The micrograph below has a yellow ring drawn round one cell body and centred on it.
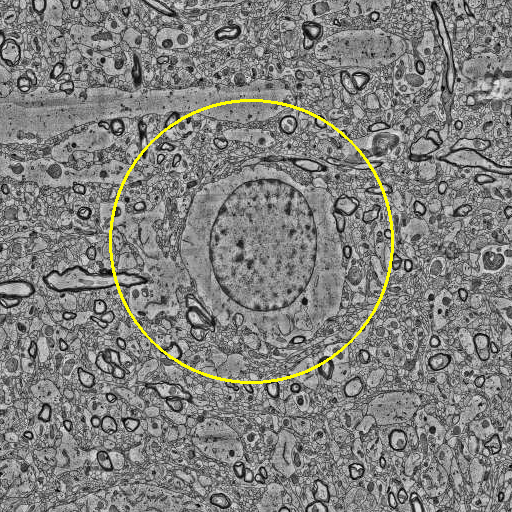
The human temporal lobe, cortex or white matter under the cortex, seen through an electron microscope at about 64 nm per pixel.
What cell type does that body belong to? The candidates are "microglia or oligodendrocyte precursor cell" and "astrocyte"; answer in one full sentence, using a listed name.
This is an astrocyte, the cell whose body lies at the centre of the ring.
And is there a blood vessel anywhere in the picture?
No, no vessel shows anywhere in the image.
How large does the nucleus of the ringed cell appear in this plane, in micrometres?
In this plane the nucleus measures roughly 8 by 7 micrometres.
